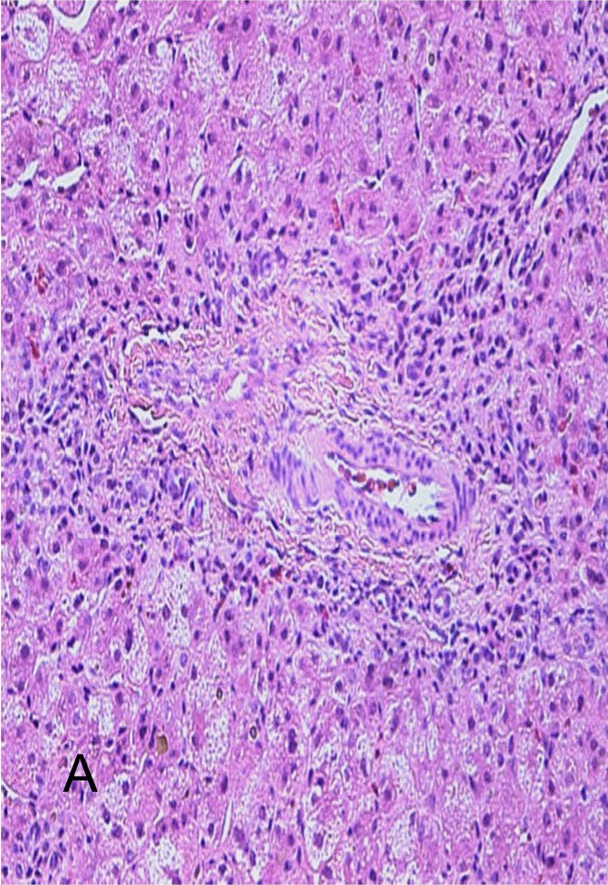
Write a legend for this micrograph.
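This section of liver shows a portal tract surrounded by plates of hepatocytes. The portal tract is a band of pink fibrous connective tissue holding a thick-walled vessel whose lumen contains red blood cells. Numerous small, dark, round to oval nuclei crowd in and around the fibrous area. The surrounding hepatocytes are large polygonal cells with round central nuclei. Many of them are swollen, with pale, clear, wispy cytoplasm, in contrast to neighbours with denser pink cytoplasm.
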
